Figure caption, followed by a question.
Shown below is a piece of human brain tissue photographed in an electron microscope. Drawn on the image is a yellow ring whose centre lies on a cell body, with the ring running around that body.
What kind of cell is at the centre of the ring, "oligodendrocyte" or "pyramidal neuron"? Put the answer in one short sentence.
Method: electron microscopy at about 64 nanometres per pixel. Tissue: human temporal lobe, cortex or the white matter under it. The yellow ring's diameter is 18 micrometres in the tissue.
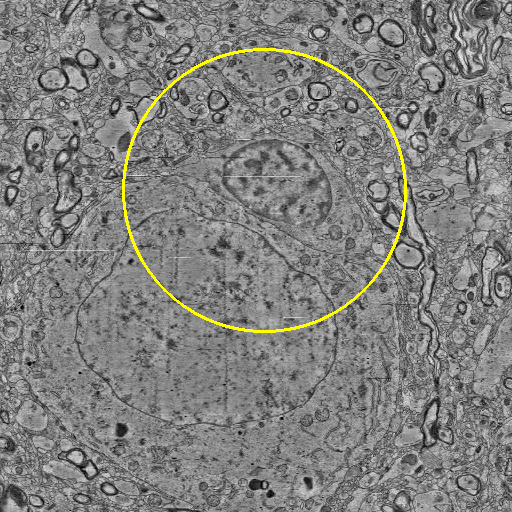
The ring marks the cell body of an oligodendrocyte.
